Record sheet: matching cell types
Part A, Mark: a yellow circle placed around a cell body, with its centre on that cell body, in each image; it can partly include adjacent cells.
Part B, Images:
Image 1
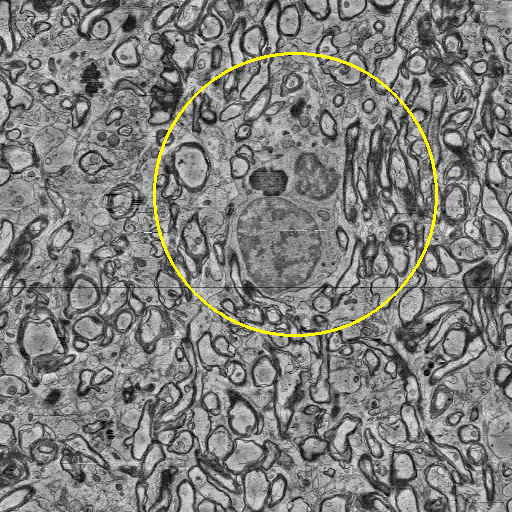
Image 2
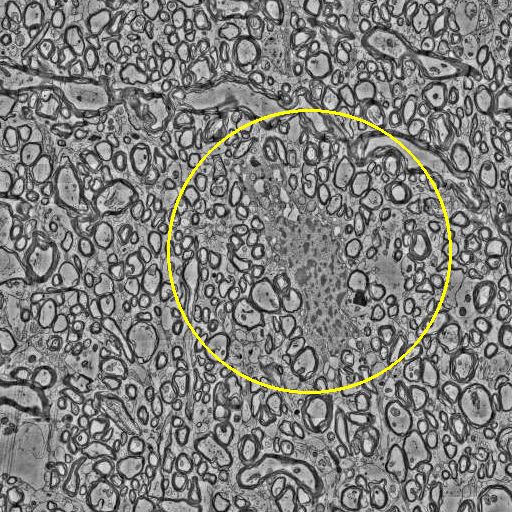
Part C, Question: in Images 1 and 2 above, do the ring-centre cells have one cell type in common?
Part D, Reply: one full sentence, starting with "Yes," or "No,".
No, the ring-centre cells of Image 1 and Image 2 are each of a separate cell type.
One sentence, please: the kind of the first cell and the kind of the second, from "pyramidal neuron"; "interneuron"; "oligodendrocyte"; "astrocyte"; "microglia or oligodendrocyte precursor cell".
The ring in the first picture surrounds an oligodendrocyte, and the ring in the second surrounds an astrocyte.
